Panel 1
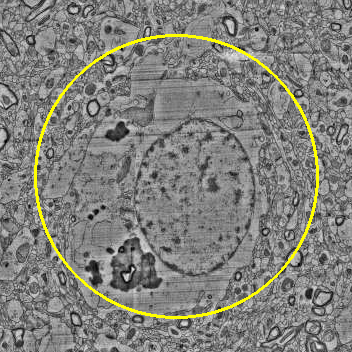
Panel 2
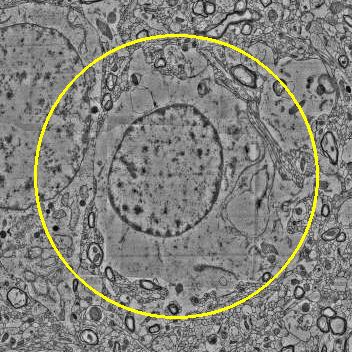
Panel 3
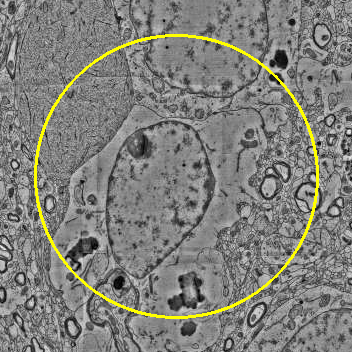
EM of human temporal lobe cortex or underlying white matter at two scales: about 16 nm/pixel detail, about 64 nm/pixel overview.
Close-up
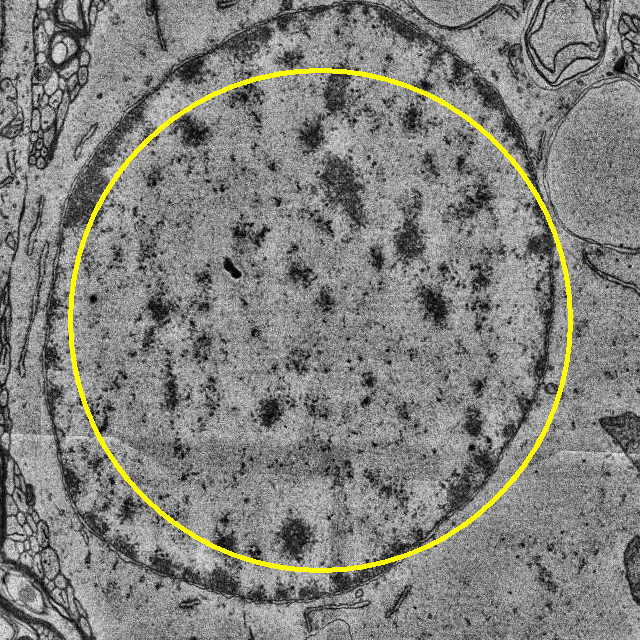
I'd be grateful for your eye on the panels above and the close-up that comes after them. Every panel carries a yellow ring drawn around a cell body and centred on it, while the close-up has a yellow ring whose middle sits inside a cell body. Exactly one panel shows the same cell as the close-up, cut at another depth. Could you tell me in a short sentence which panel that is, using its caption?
Of all the ringed cells, the close-up shows the one in Panel 2.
